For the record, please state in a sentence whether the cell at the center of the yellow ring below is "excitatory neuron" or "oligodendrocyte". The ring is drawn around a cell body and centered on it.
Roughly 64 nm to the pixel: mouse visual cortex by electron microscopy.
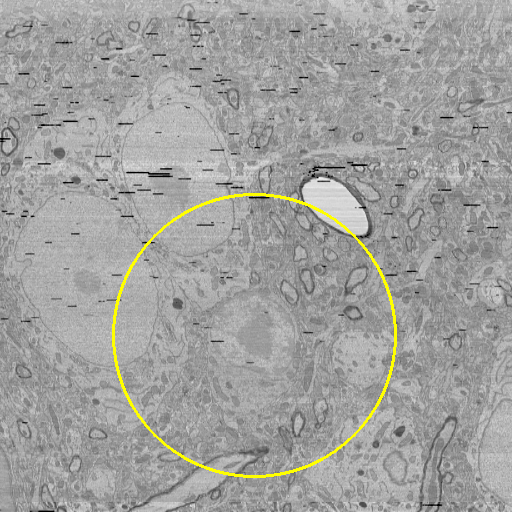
The cell at the ring's center is an oligodendrocyte.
